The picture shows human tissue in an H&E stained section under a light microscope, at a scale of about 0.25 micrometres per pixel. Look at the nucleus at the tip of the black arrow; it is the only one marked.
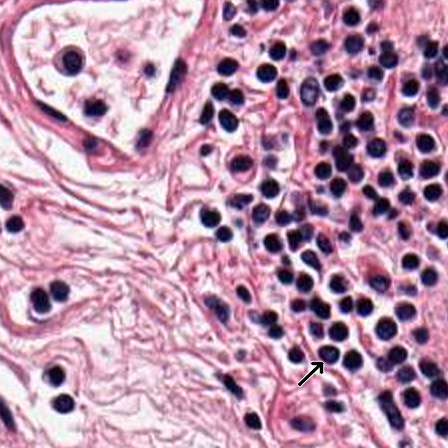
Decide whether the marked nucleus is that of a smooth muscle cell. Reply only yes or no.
no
